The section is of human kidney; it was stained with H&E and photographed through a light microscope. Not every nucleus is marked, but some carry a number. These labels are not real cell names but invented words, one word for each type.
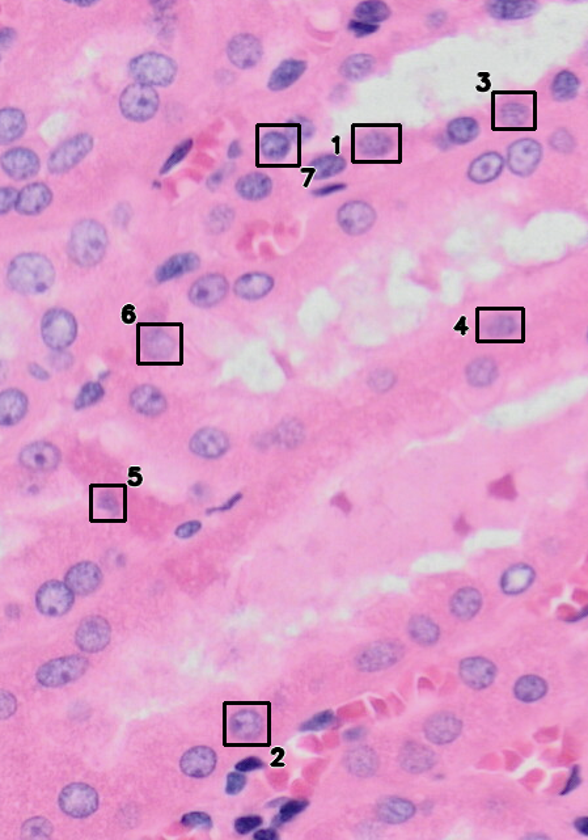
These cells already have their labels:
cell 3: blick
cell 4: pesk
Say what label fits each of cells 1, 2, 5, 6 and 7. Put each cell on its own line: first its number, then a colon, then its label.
1: blick
2: pesk
5: pesk
6: pesk
7: blick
